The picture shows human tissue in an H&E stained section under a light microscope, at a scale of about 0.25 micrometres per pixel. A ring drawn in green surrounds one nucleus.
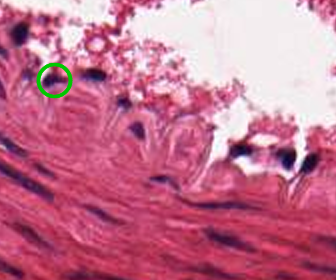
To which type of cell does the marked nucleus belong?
endothelial cell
